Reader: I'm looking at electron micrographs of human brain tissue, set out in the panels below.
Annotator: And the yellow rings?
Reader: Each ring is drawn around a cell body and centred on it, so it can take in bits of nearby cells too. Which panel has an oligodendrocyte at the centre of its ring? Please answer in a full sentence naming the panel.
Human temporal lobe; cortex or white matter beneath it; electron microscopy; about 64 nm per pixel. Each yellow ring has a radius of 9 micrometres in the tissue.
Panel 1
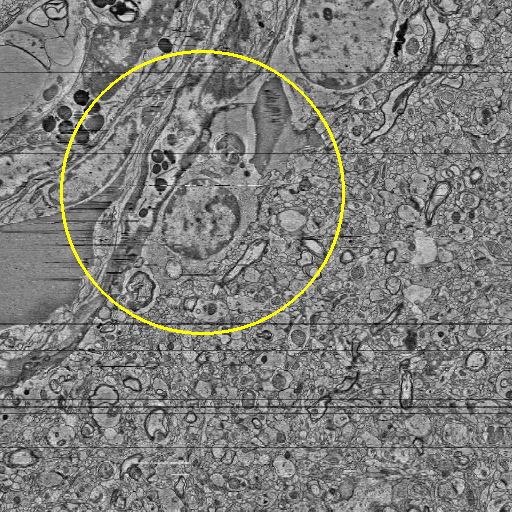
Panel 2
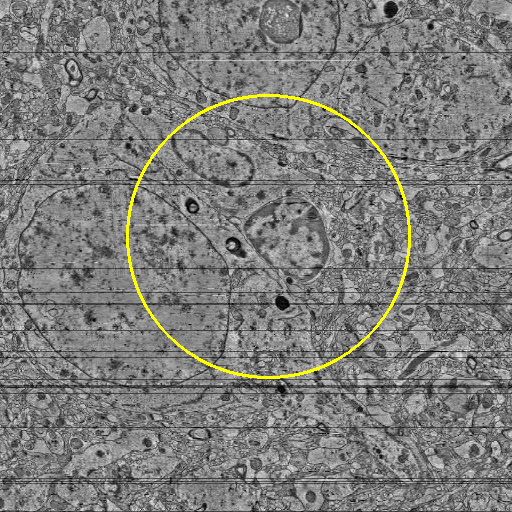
Panel 1 has it at the centre of its ring.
